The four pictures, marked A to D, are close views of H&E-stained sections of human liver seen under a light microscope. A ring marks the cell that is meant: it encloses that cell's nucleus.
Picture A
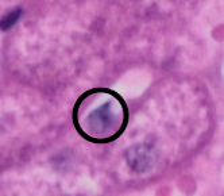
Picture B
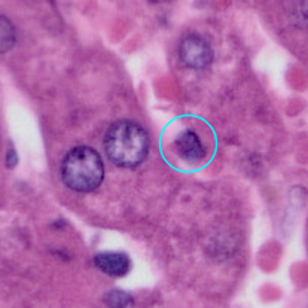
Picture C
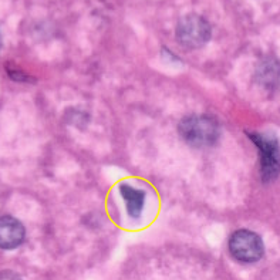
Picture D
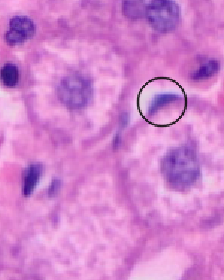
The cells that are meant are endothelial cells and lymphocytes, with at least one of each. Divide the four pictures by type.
A: endothelial cell
B: endothelial cell
C: lymphocyte
D: endothelial cell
